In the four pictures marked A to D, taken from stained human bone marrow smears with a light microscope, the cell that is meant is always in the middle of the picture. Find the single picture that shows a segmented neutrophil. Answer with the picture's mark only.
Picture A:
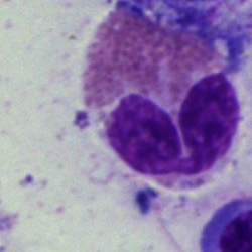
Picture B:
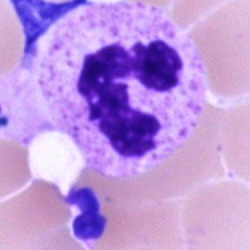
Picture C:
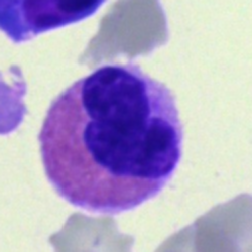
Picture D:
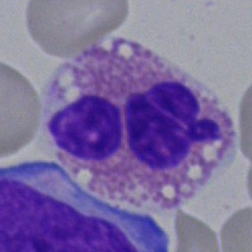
B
